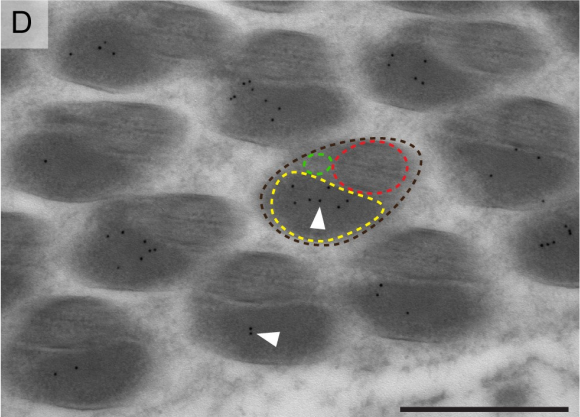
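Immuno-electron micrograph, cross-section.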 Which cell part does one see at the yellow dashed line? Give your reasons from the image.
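The yellow outline encloses the largest, dense dark body of the cross-sectioned cell. Black dots lie inside it. So: major mitochondrial derivative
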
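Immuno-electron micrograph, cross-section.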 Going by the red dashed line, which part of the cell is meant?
Axoneme.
